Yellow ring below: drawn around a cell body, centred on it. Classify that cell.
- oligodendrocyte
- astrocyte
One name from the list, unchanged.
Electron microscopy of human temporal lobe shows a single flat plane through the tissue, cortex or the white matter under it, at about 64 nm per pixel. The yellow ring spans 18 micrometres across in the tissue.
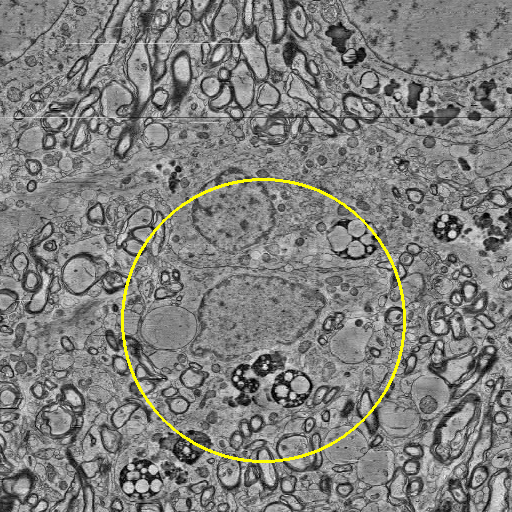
astrocyte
